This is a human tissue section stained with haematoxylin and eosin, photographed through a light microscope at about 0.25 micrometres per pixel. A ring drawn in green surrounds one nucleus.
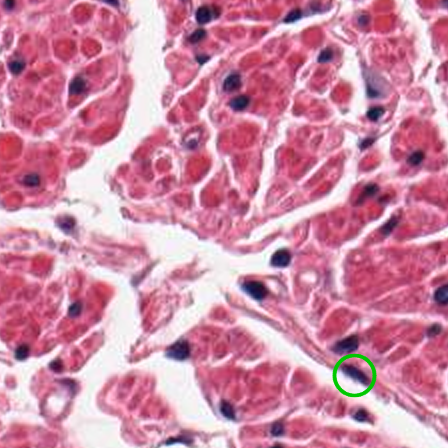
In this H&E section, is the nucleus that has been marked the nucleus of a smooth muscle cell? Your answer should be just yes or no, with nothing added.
no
